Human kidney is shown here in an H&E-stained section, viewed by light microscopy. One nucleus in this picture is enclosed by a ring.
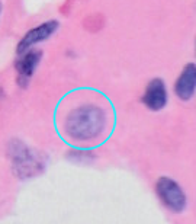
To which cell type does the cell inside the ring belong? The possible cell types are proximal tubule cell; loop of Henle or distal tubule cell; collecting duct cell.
loop of Henle or distal tubule cell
